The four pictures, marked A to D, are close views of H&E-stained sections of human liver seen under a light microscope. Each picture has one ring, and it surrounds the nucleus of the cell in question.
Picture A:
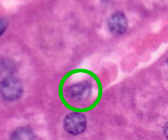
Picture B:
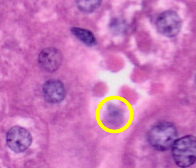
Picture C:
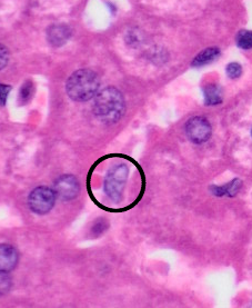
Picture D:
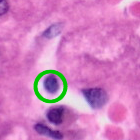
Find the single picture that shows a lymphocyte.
D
